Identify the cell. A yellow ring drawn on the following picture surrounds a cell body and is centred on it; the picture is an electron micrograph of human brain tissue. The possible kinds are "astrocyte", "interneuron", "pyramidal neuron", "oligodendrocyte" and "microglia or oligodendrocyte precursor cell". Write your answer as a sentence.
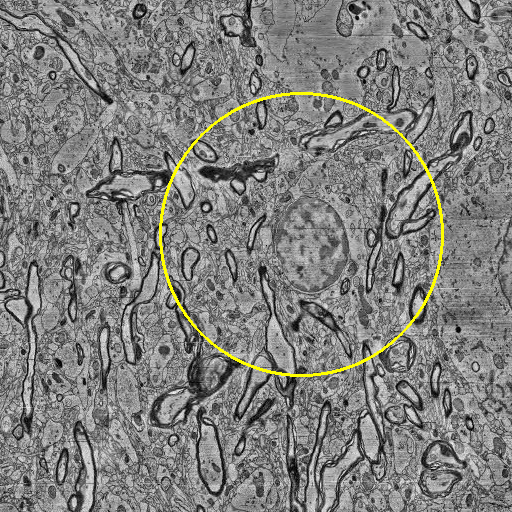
The cell identified by the ring is a microglial cell or oligodendrocyte precursor cell.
